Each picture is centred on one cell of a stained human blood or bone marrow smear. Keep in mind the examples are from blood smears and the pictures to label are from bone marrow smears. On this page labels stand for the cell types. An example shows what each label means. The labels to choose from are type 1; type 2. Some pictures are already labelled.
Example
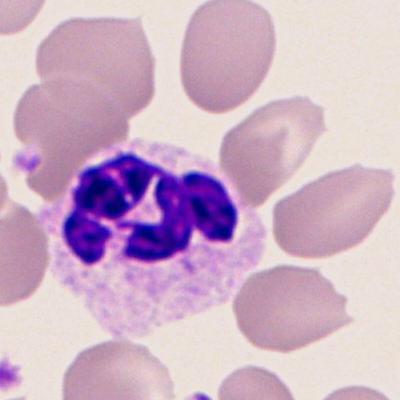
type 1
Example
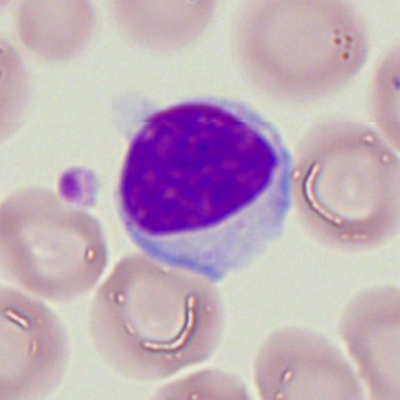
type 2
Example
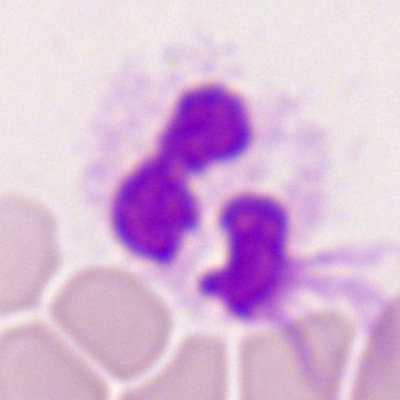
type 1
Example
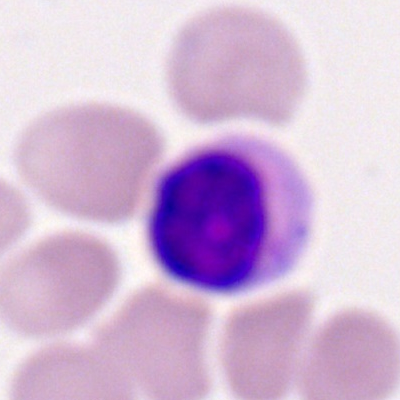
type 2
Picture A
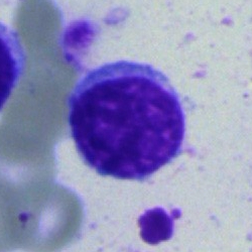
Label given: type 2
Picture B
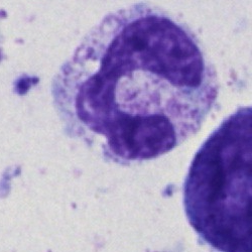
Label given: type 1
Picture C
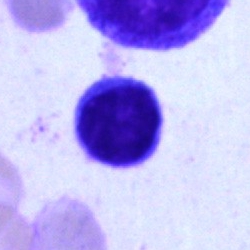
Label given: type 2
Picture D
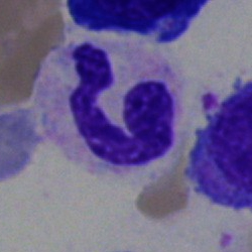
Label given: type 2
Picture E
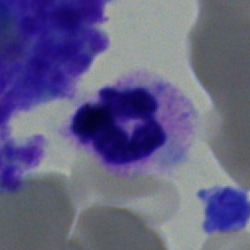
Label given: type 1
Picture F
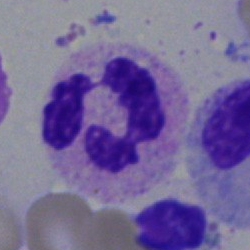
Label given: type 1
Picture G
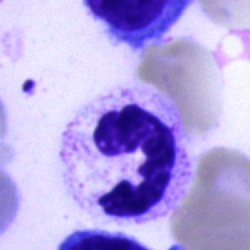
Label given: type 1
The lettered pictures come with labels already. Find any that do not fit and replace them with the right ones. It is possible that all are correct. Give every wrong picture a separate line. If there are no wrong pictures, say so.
D should be type 1, not type 2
